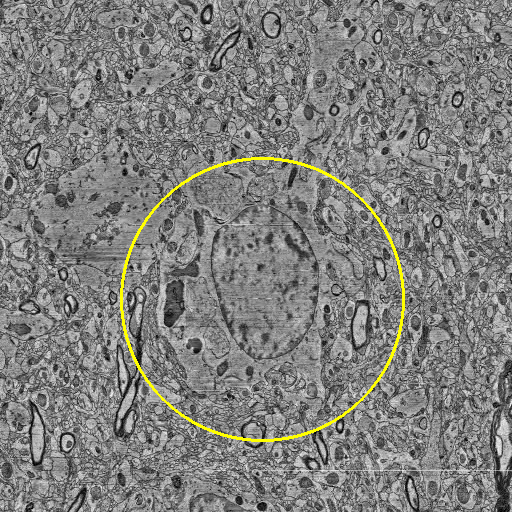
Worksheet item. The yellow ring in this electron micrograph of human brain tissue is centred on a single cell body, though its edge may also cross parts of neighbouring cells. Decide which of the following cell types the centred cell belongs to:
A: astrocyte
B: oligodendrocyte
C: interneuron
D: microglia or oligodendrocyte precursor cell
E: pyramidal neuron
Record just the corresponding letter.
A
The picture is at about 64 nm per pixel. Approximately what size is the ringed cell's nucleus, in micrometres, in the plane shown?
In this plane, roughly 10 by 7 micrometres.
